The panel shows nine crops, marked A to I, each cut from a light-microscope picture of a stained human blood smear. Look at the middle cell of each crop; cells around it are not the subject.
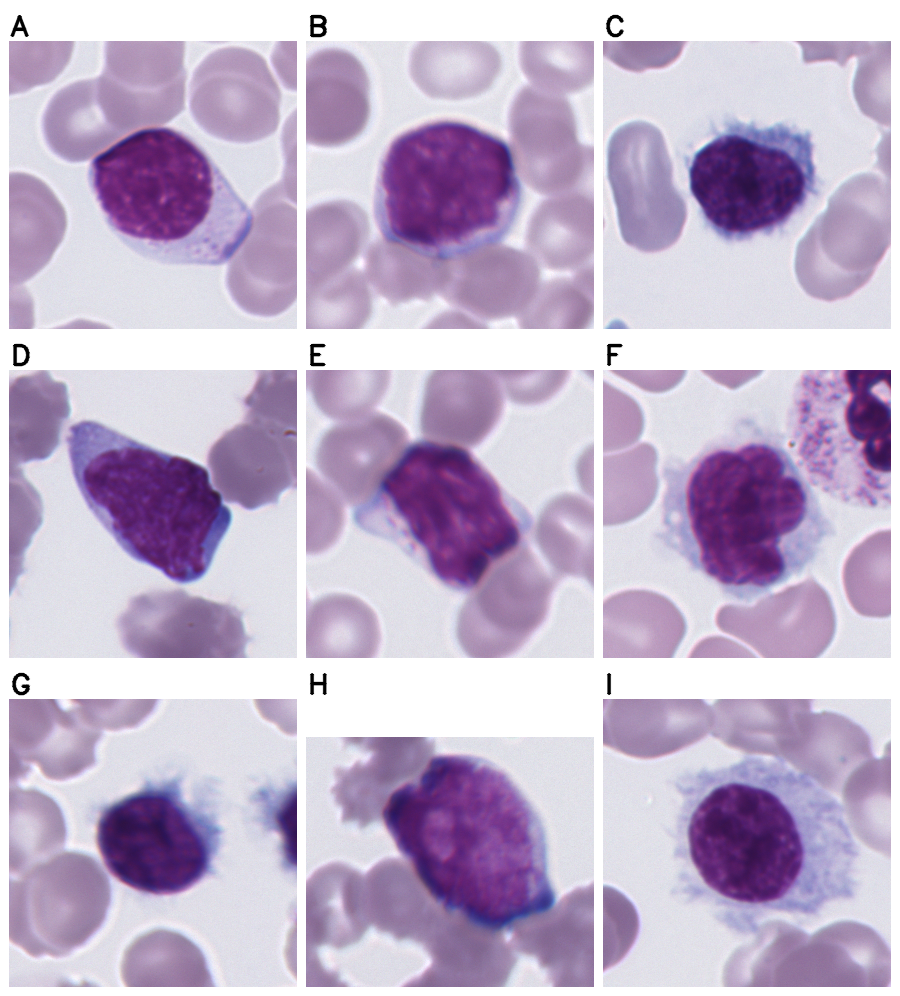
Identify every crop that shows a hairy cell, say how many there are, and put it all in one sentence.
It is in four crops, C, F, G and I, that hairy cells are shown.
